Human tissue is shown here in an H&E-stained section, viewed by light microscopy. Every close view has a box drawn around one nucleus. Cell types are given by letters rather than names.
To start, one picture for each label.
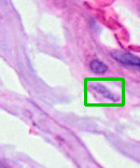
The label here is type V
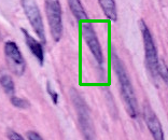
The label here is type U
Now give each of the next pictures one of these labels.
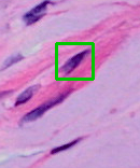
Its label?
type U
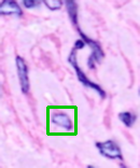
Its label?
type V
